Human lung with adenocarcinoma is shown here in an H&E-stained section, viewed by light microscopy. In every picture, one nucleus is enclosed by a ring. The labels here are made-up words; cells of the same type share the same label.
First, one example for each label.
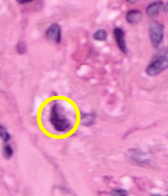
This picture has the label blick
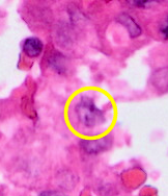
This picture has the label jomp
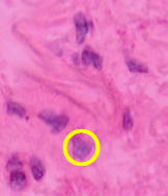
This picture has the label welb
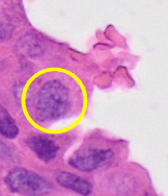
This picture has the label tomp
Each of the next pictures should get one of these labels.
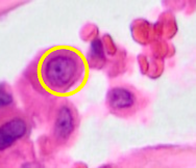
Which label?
jomp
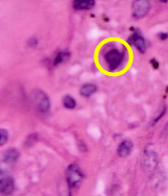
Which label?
blick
